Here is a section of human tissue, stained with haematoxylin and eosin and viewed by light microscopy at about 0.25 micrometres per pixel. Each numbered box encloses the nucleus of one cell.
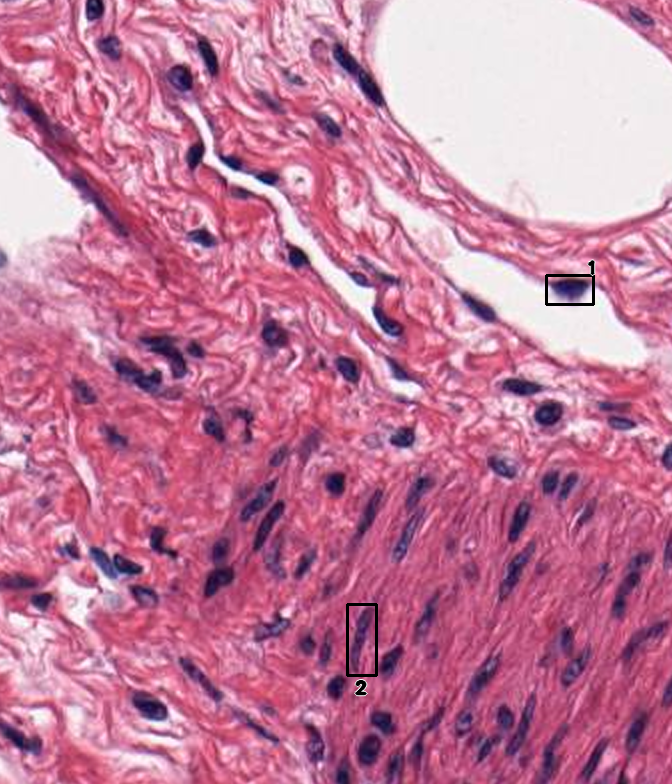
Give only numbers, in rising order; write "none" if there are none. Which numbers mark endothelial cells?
1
